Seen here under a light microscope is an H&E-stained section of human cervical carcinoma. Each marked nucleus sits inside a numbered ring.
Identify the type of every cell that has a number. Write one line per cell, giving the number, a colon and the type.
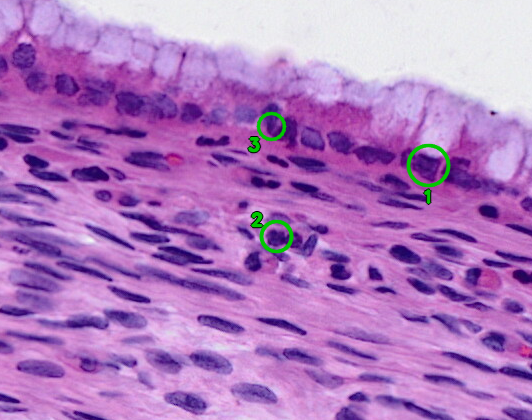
1: secretory epithelial cell
2: lymphocyte
3: secretory epithelial cell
